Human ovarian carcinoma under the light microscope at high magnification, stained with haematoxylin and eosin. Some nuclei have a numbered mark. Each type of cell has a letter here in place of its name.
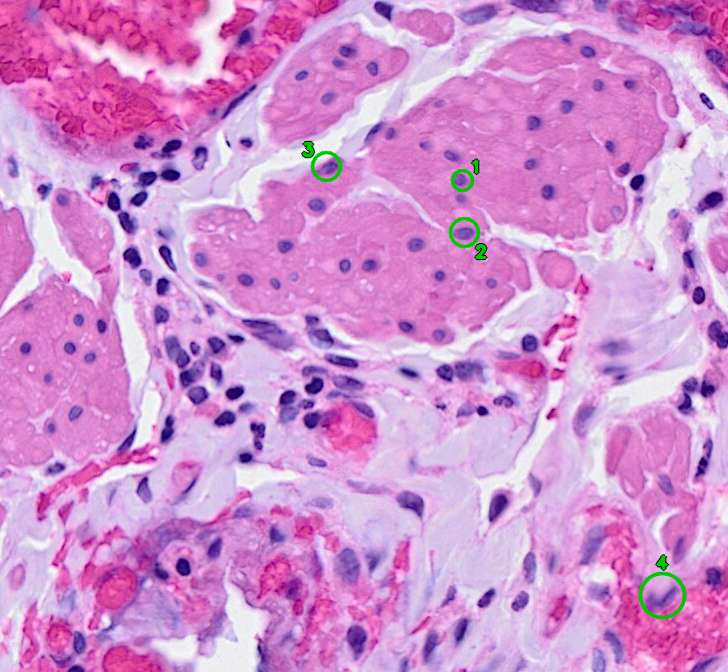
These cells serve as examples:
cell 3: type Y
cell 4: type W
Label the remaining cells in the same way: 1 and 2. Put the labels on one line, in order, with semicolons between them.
type Y; type Y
